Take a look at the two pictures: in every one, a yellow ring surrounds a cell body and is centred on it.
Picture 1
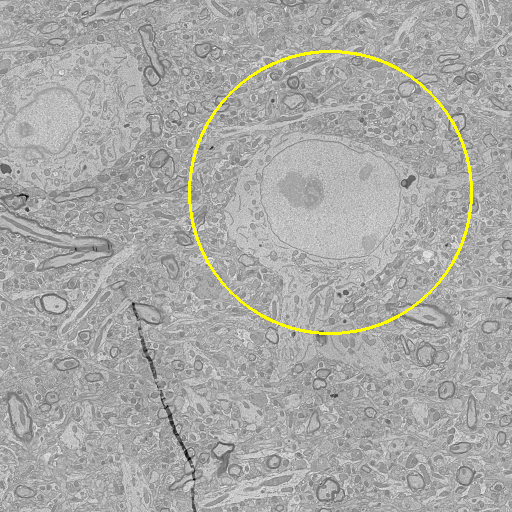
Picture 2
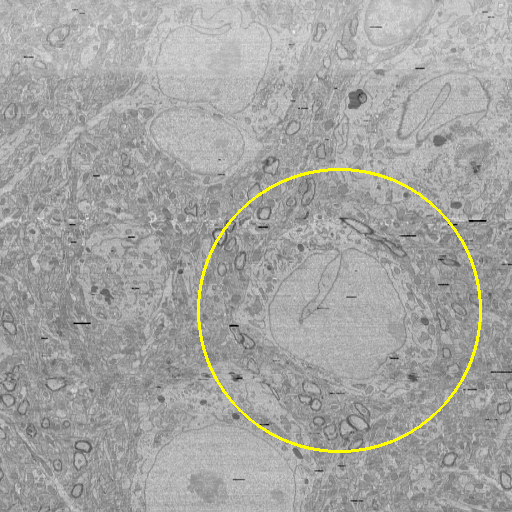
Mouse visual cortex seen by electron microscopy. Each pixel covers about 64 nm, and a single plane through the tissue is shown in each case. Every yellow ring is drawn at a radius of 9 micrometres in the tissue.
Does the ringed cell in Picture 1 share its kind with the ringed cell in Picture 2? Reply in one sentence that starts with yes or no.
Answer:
No, the two centred cells, one per picture, are of two kinds.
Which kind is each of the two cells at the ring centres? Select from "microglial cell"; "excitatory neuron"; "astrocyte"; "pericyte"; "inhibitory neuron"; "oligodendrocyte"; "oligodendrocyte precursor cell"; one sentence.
The cell at the centre of the ring is an excitatory neuron in the first picture and an inhibitory neuron in the second.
